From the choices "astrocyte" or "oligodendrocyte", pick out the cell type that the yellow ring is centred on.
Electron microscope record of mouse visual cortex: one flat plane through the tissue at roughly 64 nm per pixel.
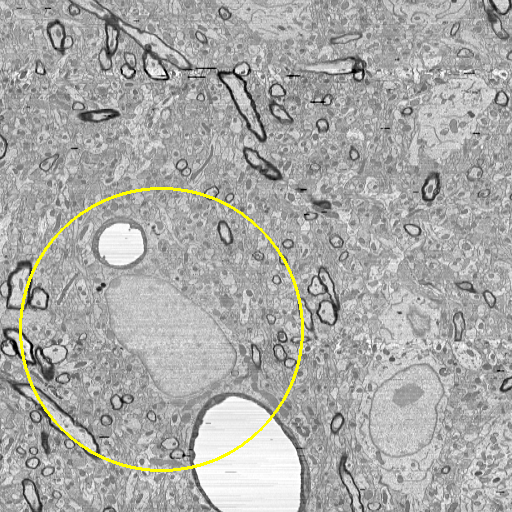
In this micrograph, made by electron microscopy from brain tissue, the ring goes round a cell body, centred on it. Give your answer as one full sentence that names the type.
The yellow ring is centred on an astrocyte, whose cell body it encircles in the picture.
